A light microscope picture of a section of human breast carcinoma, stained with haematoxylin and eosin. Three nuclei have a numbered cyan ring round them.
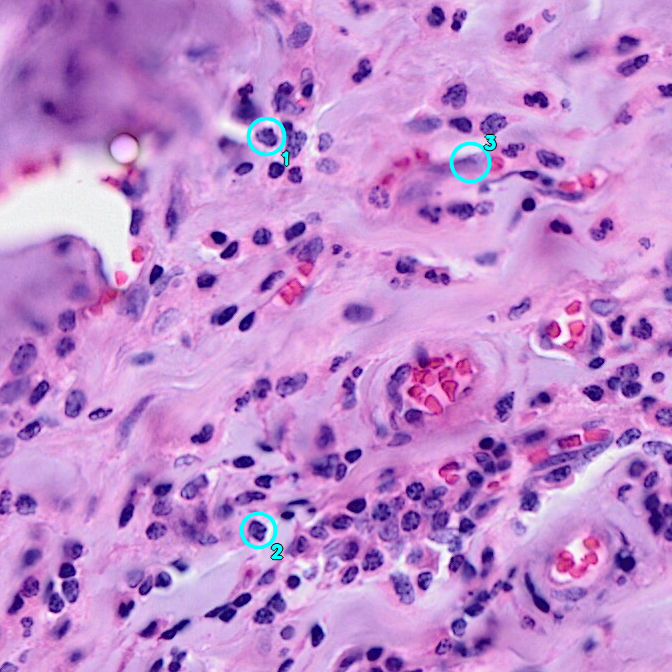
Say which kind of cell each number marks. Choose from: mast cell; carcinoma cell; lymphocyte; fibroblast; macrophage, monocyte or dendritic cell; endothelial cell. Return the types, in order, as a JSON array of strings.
["lymphocyte", "lymphocyte", "endothelial cell"]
